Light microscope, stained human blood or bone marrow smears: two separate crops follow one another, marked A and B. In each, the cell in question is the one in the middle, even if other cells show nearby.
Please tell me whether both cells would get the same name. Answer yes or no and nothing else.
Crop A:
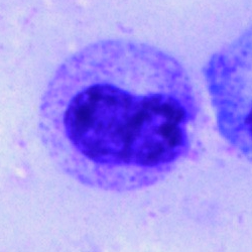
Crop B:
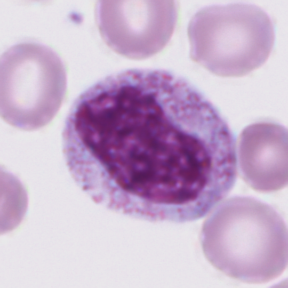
yes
